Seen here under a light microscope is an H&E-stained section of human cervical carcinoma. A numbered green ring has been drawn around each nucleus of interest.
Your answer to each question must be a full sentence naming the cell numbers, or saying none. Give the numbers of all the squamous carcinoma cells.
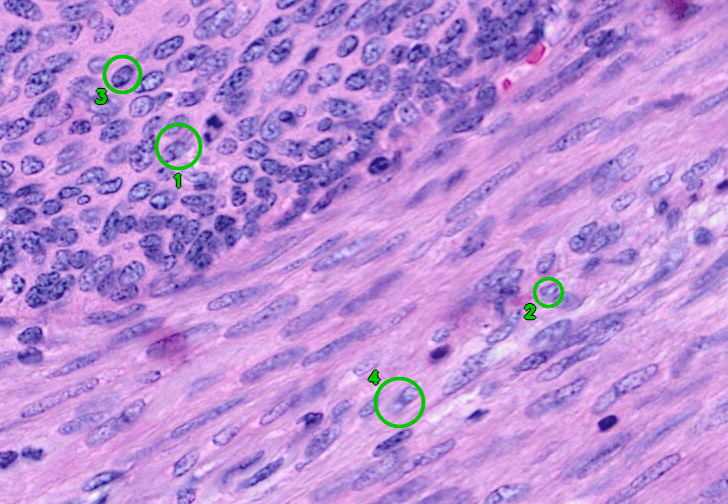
The numbers 1 and 3 mark cells that are squamous carcinoma cells.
